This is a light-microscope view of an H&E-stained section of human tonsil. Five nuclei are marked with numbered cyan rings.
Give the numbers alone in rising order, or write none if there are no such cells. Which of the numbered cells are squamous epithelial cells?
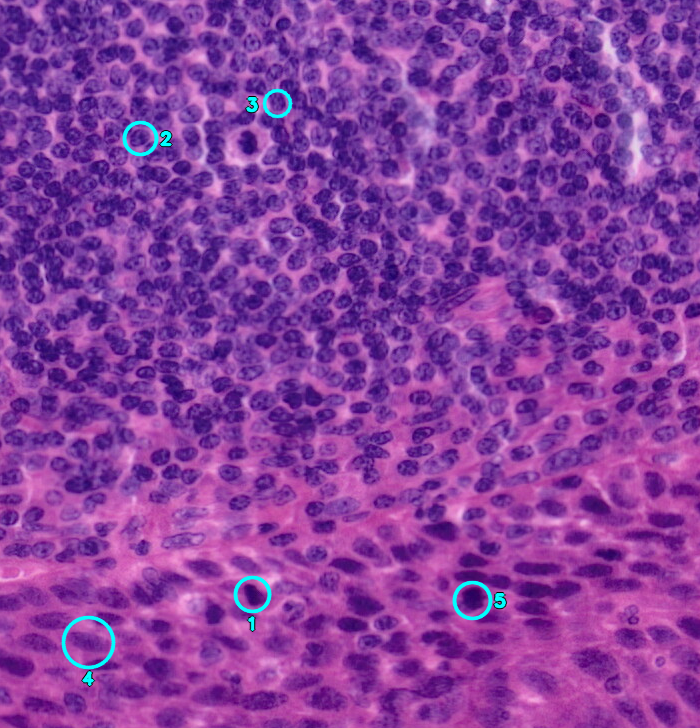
1, 4, 5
